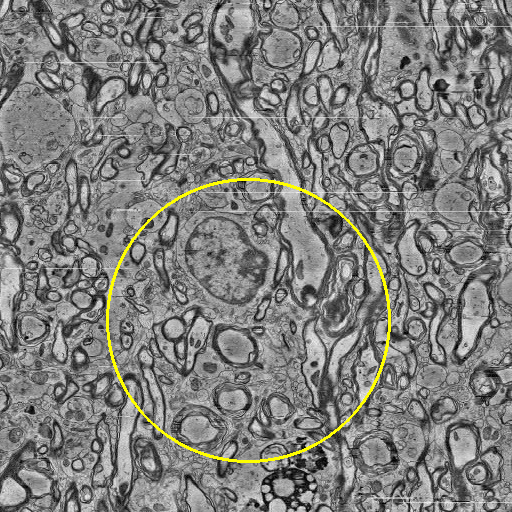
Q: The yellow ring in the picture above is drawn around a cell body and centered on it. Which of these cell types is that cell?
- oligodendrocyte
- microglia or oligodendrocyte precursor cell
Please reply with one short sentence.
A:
The cell body at the ring's center belongs to a microglial cell or oligodendrocyte precursor cell.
